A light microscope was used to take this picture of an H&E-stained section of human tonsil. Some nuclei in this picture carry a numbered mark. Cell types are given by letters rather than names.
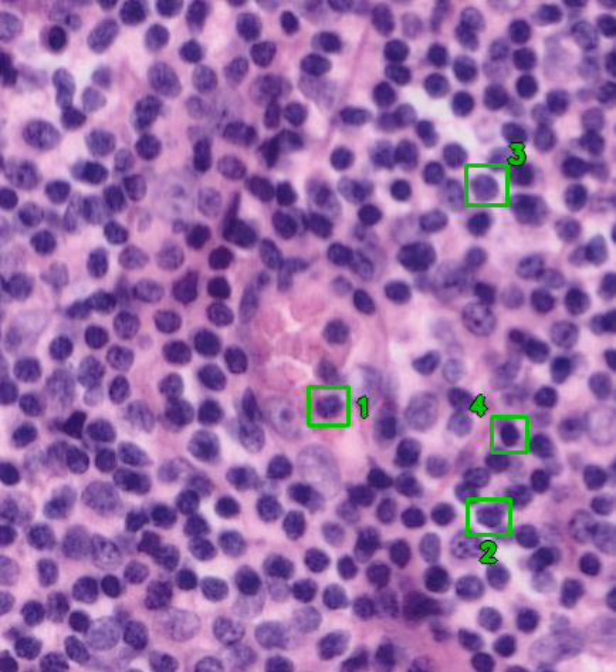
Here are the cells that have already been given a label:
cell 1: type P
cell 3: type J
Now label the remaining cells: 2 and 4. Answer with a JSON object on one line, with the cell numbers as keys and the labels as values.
{"2": "type J", "4": "type J"}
